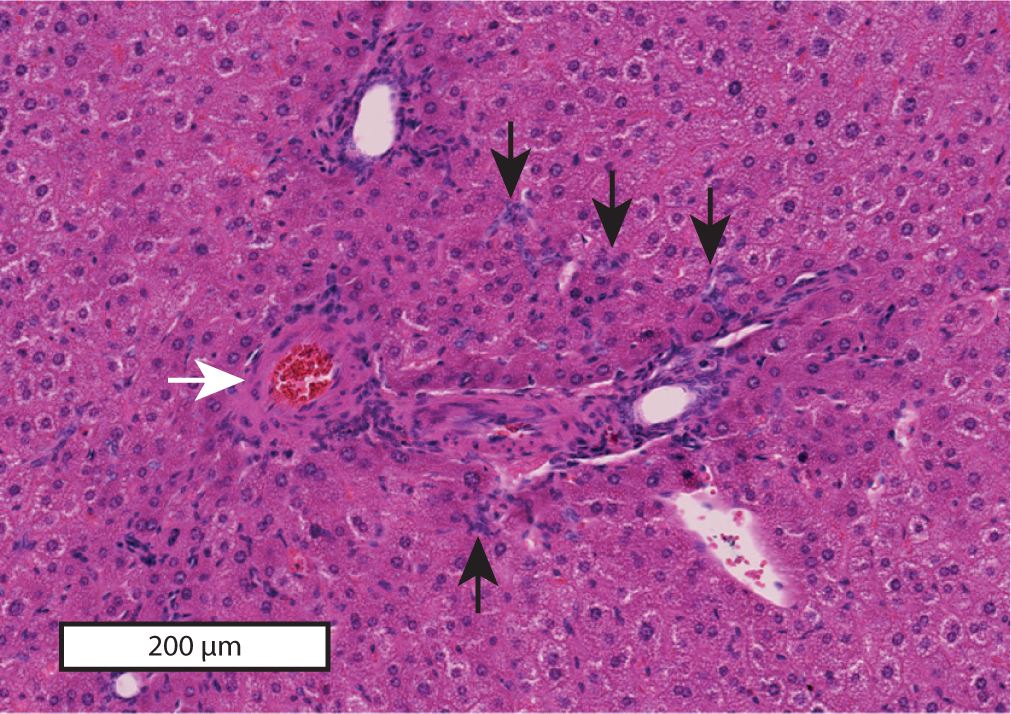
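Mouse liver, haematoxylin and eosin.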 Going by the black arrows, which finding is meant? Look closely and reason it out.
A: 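The arrows point to strands and small clusters of small cells with dark nuclei. These clusters radiate from the portal area into the hepatocyte plates. The answer: bile duct hyperplasia.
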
